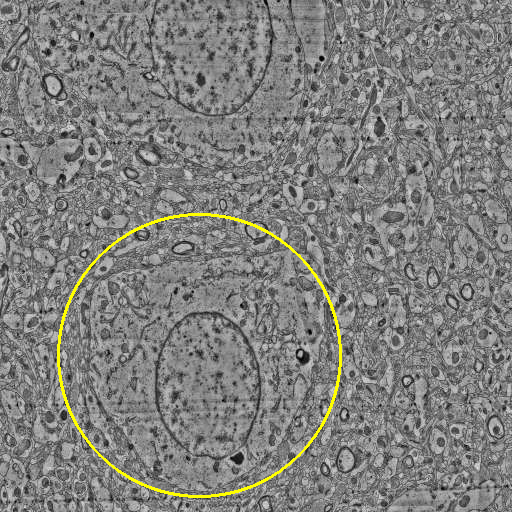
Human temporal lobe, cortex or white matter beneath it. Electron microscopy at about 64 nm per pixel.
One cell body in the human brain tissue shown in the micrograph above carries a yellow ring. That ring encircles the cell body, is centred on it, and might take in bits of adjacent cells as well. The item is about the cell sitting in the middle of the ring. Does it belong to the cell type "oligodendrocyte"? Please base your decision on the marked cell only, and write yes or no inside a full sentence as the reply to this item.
No, the cell in the centre of the yellow ring belongs to a different kind.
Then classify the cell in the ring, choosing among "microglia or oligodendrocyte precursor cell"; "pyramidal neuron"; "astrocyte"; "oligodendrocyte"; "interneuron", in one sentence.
It is a pyramidal neuron at the centre of the ring.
